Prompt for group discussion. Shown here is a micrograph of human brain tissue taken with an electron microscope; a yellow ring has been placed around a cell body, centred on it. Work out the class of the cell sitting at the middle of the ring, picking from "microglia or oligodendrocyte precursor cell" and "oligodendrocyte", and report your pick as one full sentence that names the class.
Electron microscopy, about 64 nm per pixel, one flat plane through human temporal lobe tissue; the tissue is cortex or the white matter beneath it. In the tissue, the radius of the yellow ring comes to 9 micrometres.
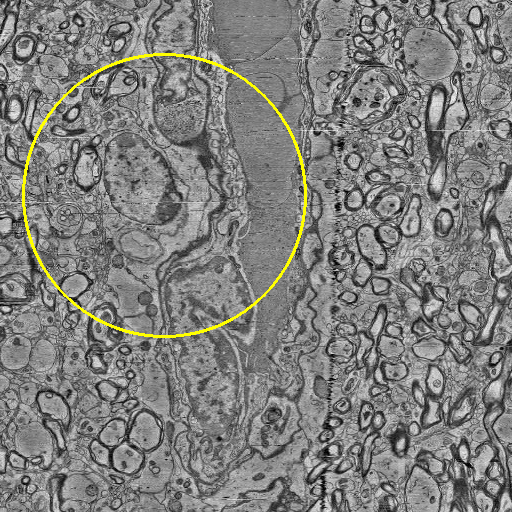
The cell sitting at the middle of the yellow ring is a microglial cell or oligodendrocyte precursor cell.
